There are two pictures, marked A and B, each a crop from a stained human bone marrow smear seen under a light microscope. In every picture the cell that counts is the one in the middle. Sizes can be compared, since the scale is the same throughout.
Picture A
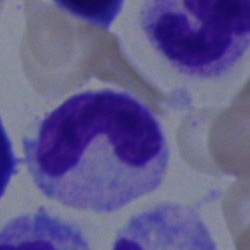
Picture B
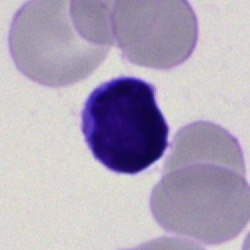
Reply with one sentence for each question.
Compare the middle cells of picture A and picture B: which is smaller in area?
The cell in picture B is smaller; the one in picture A has about 2 times its area.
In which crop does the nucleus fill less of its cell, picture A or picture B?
The nucleus fills less of the cell in picture A than in picture B.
